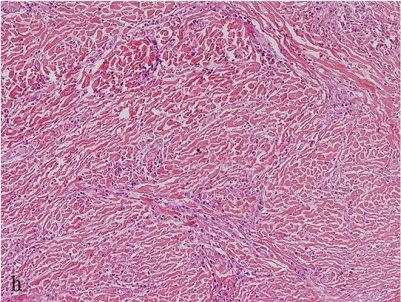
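This is a field of a spindle-cell lesion in which pink-staining collagenous stroma dominates the picture. The eosinophilic fibres run in bundles that cross and interlace with one another in different directions. Between the bundles lie scattered small, dark purple nuclei, many of them elongated and spindle-shaped, following the direction of the fibres. Overall the field is poor in cells compared with the amount of fibrous matrix, giving it a scar-like appearance.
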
